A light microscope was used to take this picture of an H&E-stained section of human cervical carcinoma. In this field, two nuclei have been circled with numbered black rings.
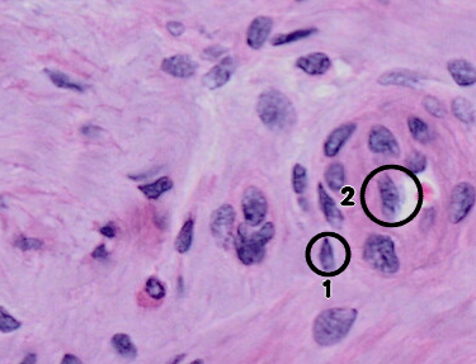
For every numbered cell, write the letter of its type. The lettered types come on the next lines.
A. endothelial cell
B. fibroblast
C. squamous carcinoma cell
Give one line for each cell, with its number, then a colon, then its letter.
1: B
2: A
